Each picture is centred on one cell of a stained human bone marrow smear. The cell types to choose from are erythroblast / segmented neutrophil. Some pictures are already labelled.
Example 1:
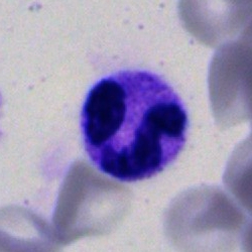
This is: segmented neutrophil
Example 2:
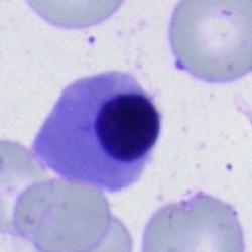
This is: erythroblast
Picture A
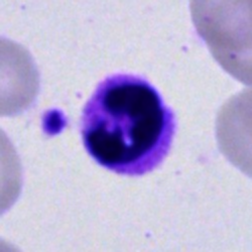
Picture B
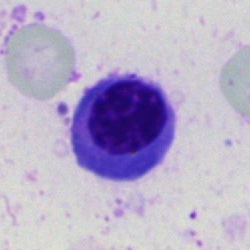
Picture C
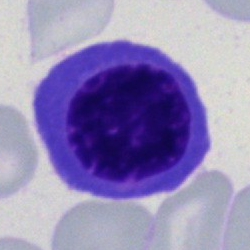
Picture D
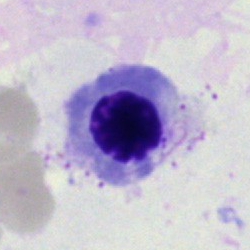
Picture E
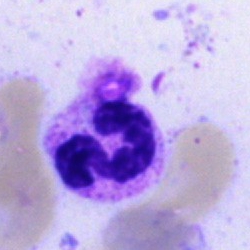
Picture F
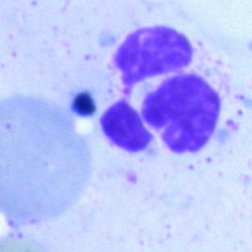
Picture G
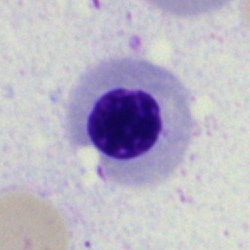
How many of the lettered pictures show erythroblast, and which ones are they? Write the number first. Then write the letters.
4, namely B, C, D, G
